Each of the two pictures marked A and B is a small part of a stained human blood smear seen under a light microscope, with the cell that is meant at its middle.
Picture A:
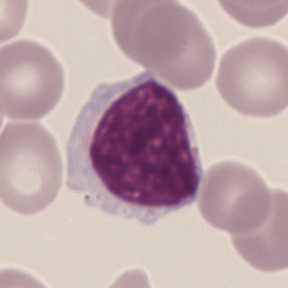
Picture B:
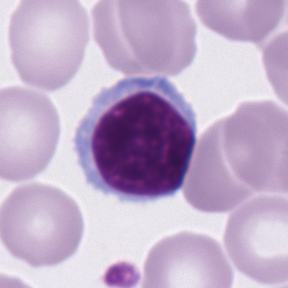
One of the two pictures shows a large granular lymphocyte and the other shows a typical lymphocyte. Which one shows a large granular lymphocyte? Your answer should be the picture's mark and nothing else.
A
